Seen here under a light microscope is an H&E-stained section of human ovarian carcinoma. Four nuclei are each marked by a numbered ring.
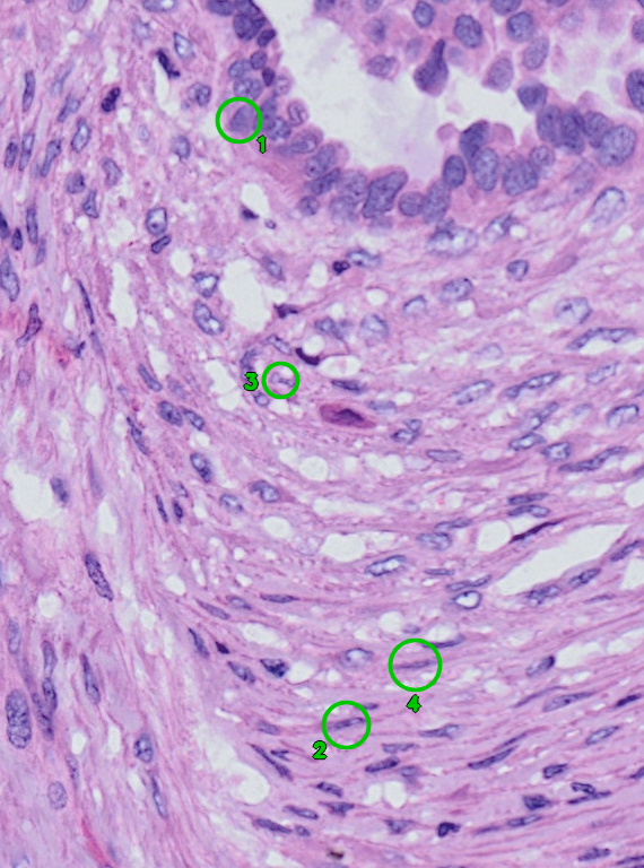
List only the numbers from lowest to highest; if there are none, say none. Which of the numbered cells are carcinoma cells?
1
